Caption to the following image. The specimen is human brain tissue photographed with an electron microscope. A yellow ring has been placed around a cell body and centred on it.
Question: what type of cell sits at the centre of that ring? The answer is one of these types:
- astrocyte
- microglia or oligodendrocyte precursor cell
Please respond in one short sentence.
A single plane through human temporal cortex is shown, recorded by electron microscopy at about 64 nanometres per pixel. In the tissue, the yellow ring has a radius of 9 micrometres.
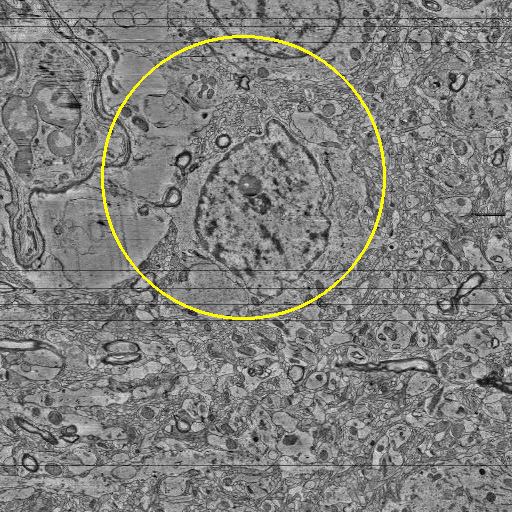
The ring surrounds the cell body of a microglial cell or oligodendrocyte precursor cell.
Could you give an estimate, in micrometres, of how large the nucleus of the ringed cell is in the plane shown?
In this plane, the nucleus is roughly 11 by 9 micrometres.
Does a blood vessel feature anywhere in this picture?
Yes, there is one.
